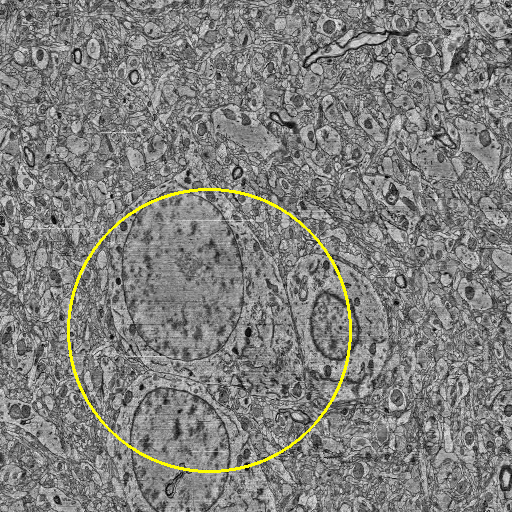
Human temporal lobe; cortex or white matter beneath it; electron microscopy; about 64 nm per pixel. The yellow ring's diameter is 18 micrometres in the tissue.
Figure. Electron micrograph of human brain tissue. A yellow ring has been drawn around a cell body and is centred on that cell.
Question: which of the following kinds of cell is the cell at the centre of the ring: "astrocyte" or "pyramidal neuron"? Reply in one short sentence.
The cell at the centre of the ring is a pyramidal neuron.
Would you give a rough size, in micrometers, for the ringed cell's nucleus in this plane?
About 11 by 8 micrometres in this plane.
